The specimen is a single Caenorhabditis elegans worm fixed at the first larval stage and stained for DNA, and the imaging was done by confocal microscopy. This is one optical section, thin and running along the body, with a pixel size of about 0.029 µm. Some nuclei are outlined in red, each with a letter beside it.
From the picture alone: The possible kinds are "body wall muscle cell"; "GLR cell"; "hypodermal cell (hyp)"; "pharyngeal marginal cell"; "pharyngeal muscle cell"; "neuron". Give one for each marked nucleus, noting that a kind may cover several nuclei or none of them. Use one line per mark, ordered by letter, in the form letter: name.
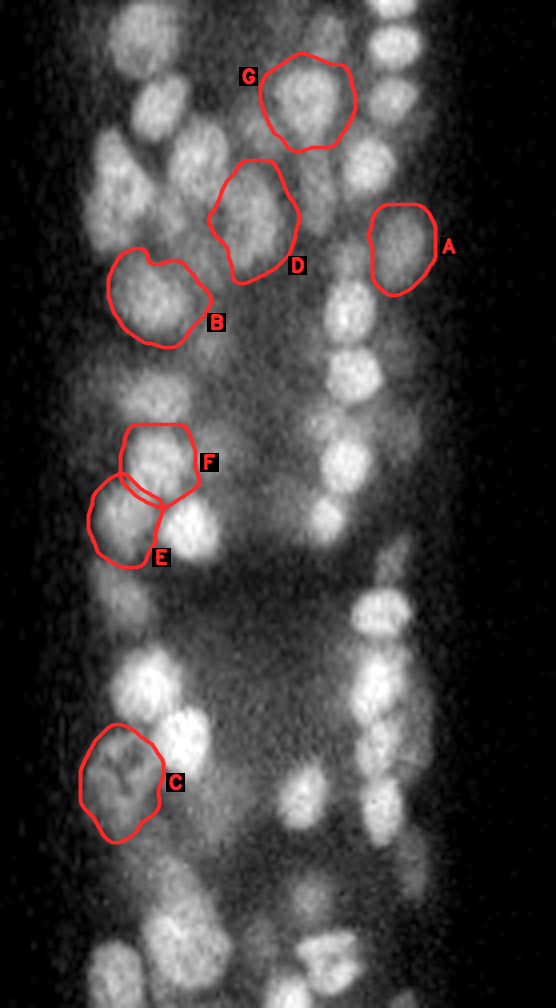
A: body wall muscle cell
B: neuron
C: hypodermal cell (hyp)
D: pharyngeal marginal cell
E: neuron
F: neuron
G: pharyngeal muscle cell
